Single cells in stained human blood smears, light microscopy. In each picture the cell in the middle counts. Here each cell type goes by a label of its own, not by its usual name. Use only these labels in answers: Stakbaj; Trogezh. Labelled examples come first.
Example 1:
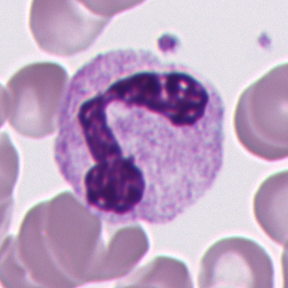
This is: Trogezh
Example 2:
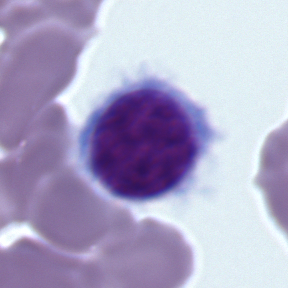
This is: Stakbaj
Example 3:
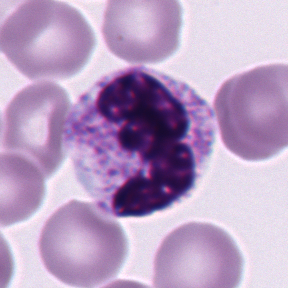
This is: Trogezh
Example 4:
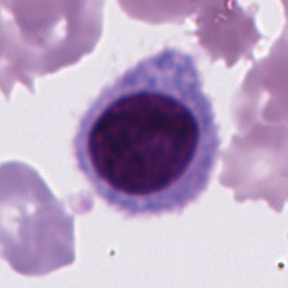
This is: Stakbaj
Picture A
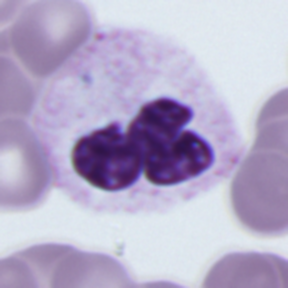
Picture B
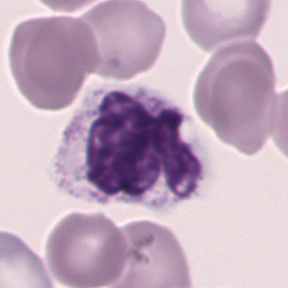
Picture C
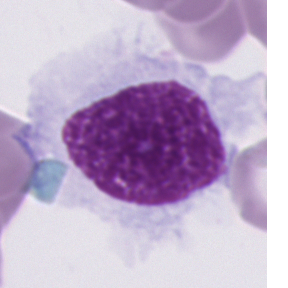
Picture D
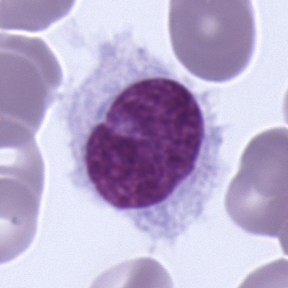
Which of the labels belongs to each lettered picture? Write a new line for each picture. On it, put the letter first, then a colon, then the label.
A: Trogezh
B: Trogezh
C: Stakbaj
D: Stakbaj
